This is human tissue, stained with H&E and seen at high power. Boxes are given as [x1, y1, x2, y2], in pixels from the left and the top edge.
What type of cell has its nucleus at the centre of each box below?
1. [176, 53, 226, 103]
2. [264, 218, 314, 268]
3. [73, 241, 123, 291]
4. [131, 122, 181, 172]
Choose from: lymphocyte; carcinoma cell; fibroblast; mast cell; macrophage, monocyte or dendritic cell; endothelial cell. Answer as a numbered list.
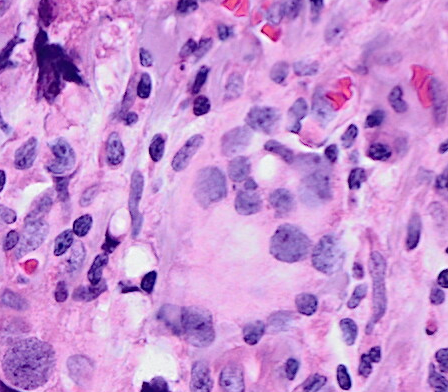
1. lymphocyte
2. carcinoma cell
3. lymphocyte
4. lymphocyte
